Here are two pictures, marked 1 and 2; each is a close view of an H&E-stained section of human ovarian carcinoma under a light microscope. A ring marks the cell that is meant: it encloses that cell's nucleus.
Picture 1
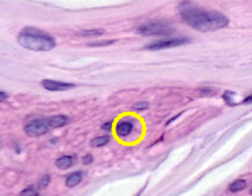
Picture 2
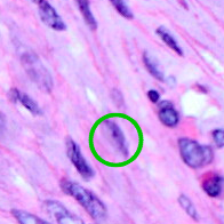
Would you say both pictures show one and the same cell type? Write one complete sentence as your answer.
No, the types are not the same, since picture 1 shows a smooth muscle cell and picture 2 a fibroblast.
